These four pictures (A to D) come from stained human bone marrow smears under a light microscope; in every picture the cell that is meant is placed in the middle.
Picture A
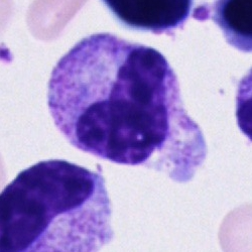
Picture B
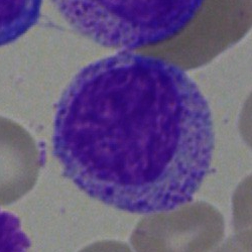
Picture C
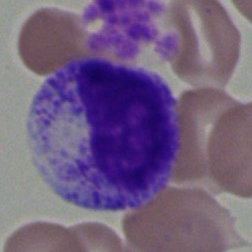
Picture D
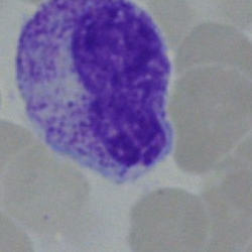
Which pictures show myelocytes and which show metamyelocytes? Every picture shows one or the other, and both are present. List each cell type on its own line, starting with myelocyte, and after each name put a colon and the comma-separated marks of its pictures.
myelocyte: B
metamyelocyte: A, C, D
